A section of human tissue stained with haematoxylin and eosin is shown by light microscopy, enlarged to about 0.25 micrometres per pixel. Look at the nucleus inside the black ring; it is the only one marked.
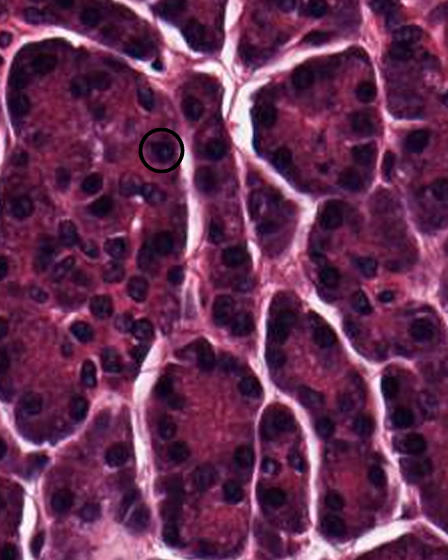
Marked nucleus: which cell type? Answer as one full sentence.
The marked nucleus is the nucleus of a pancreatic acinar cell.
